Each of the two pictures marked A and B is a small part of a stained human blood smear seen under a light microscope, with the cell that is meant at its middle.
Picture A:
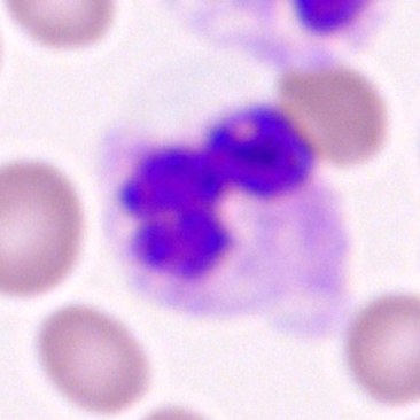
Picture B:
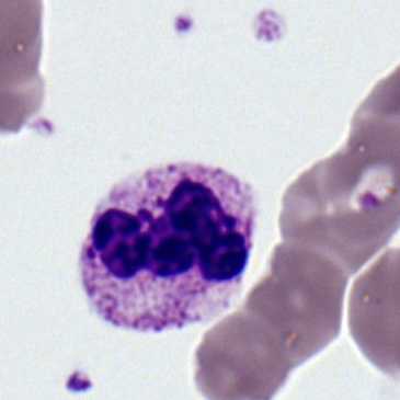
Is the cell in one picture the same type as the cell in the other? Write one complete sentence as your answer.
Yes, both cells are segmented neutrophils.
